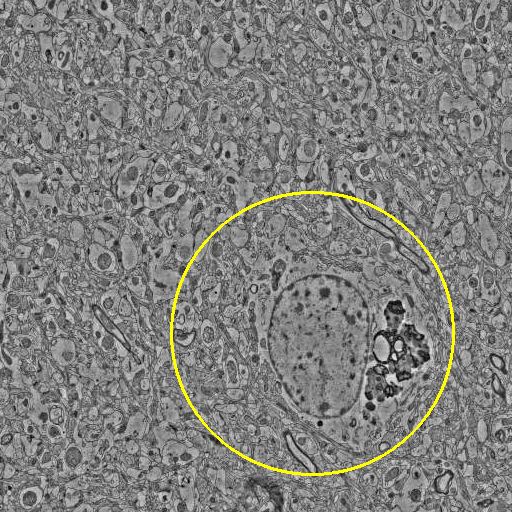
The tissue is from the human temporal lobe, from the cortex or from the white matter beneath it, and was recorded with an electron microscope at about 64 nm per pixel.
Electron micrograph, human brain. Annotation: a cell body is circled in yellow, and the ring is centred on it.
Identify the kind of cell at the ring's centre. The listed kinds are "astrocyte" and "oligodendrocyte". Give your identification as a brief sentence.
The circled cell body is that of an astrocyte.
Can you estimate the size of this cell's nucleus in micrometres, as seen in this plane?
Approximately 9 x 7 micrometres in this plane.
